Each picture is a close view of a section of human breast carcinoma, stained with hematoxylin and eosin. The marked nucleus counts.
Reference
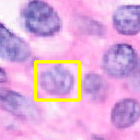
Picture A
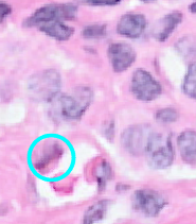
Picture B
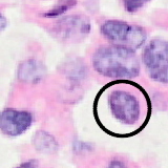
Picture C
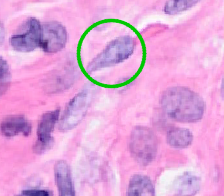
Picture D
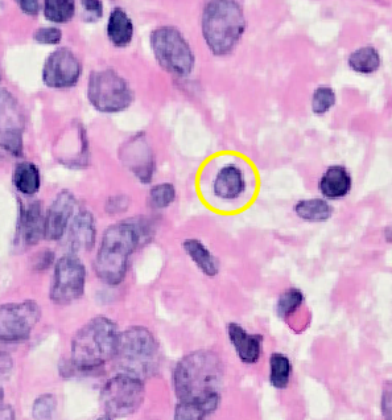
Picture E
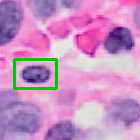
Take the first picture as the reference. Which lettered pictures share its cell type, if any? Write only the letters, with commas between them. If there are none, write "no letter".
B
